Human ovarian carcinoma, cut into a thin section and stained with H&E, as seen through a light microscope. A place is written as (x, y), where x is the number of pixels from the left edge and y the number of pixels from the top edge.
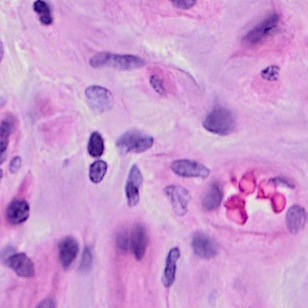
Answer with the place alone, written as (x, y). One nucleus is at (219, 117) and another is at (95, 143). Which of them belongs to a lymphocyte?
(95, 143)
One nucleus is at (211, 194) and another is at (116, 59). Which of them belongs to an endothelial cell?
(211, 194)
